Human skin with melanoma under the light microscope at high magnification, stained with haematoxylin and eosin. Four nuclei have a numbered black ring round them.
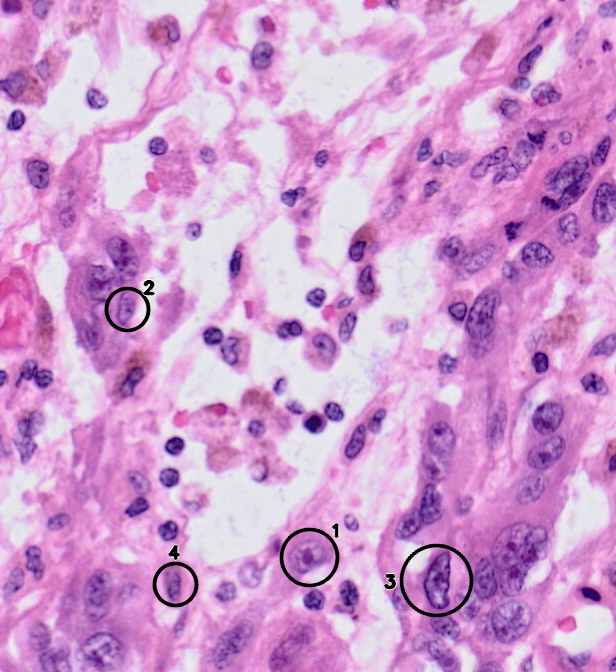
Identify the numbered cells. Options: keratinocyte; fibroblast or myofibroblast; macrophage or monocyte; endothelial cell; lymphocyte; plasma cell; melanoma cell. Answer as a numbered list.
1. melanoma cell
2. melanoma cell
3. melanoma cell
4. macrophage or monocyte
